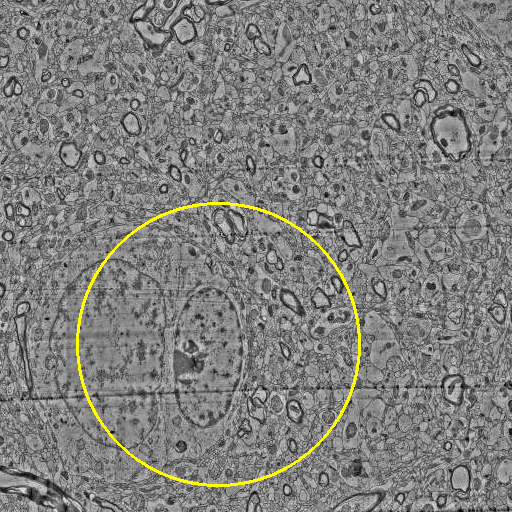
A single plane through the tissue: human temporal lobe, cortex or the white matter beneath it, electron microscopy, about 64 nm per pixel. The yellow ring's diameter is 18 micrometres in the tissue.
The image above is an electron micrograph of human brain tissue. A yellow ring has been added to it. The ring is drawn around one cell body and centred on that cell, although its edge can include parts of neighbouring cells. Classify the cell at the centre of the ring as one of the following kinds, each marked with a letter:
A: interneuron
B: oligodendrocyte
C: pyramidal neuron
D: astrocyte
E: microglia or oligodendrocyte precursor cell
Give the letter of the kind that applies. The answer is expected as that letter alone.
E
